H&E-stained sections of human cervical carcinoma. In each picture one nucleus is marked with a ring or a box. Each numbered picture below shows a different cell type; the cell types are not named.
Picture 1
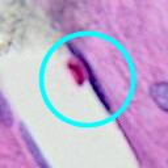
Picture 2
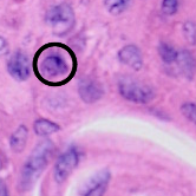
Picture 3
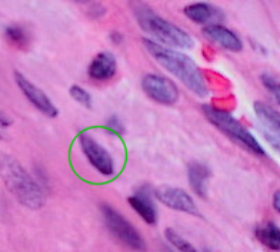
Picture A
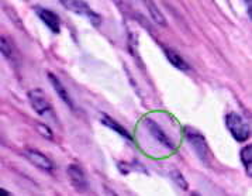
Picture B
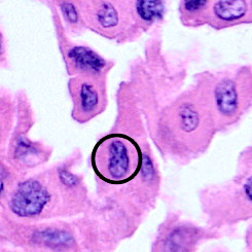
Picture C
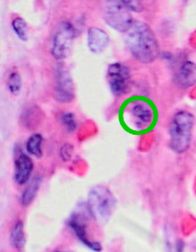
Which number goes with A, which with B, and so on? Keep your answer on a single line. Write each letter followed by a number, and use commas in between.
A 3, B 2, C 1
